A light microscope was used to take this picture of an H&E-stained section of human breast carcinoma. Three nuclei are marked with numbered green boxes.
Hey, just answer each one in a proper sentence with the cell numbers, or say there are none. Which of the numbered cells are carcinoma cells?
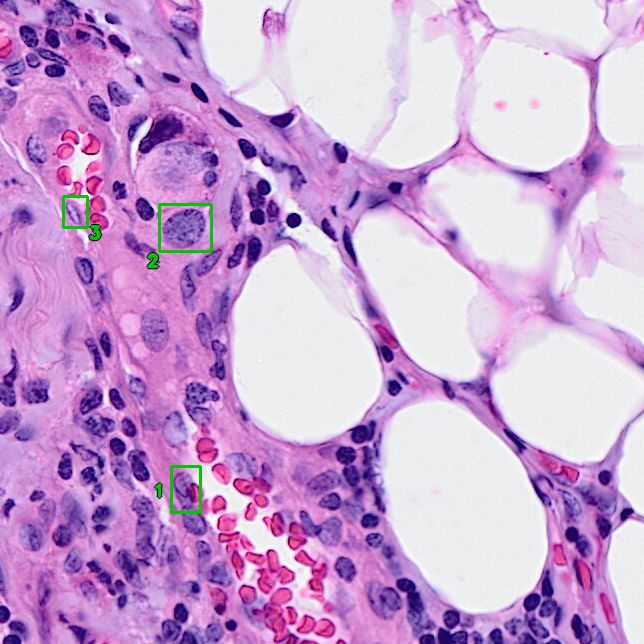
Among the marked cells, cell number 2 alone is a carcinoma cell.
